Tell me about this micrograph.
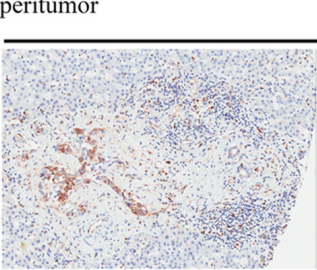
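Toward the left and centre, a few small clustered structures show moderate brown staining. Most of the field lacks brown staining and appears blue from the counterstained nuclei.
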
